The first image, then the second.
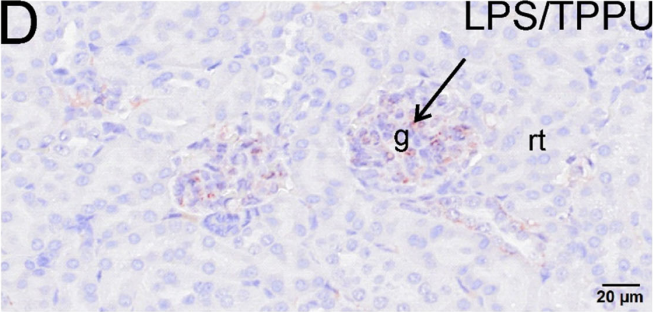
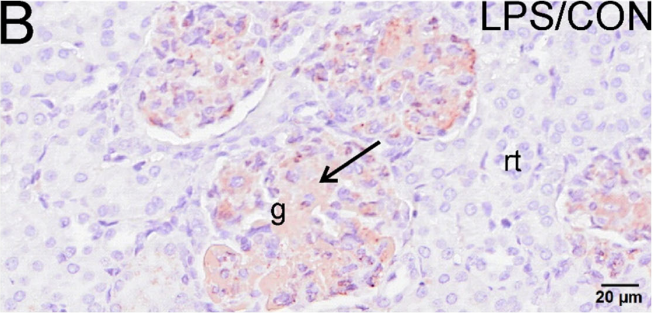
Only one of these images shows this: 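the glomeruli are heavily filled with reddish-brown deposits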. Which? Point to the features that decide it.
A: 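First image: the glomeruli show only sparse, faint reddish speckles among blue nuclei. Second image: the glomerular tufts are broadly covered by reddish-brown stain.
Answer: the second image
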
